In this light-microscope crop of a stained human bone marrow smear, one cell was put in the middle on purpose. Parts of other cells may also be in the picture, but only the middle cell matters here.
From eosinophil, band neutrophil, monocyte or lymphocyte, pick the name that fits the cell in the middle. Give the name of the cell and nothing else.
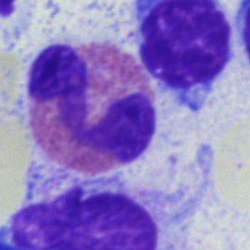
eosinophil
